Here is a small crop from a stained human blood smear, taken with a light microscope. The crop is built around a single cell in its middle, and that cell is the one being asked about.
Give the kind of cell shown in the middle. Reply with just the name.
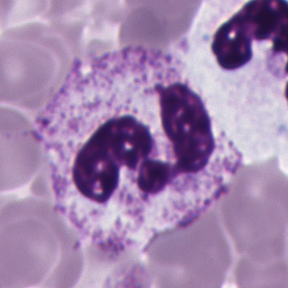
neutrophil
